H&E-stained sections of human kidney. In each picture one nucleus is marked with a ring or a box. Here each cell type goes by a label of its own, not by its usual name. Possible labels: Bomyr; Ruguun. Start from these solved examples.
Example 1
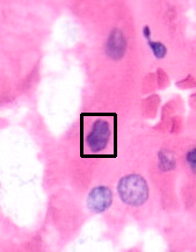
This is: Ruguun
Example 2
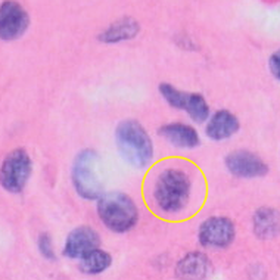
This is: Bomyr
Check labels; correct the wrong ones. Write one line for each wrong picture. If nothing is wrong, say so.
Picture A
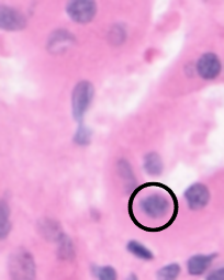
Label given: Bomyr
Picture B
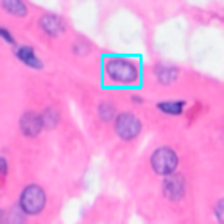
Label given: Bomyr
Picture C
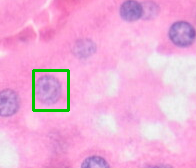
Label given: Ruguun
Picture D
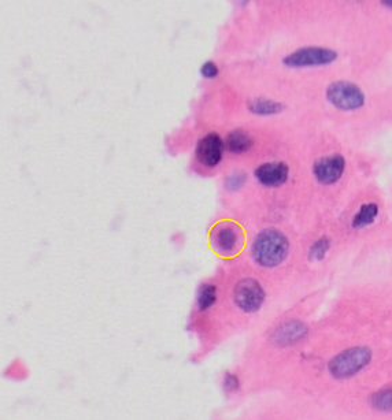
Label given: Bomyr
Every label is right.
